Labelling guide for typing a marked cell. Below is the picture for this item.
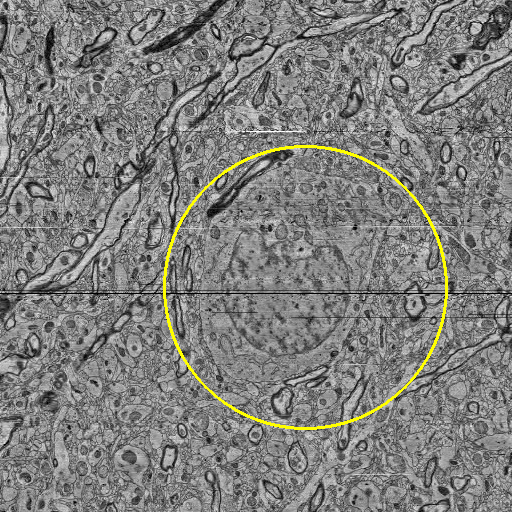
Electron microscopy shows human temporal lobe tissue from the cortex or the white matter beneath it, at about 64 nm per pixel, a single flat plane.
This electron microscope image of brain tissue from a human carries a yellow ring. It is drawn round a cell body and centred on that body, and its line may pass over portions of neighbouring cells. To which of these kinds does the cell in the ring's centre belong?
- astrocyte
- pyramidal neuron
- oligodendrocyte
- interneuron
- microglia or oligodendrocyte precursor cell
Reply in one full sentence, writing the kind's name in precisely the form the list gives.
Here we have an interneuron at the centre of the yellow ring in the picture.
